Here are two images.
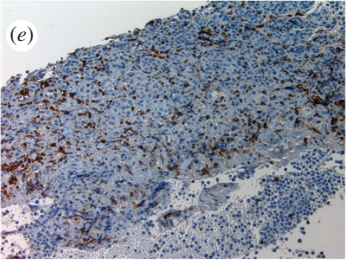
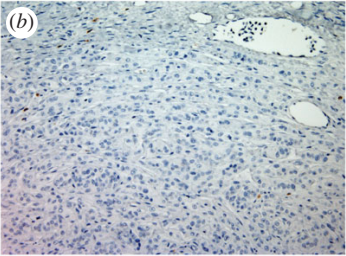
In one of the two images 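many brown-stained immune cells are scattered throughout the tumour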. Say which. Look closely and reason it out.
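First image: numerous brown-stained cells spread across the tumour tissue. Second image: the tumour is almost entirely blue with hardly any brown cells.
The first image.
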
